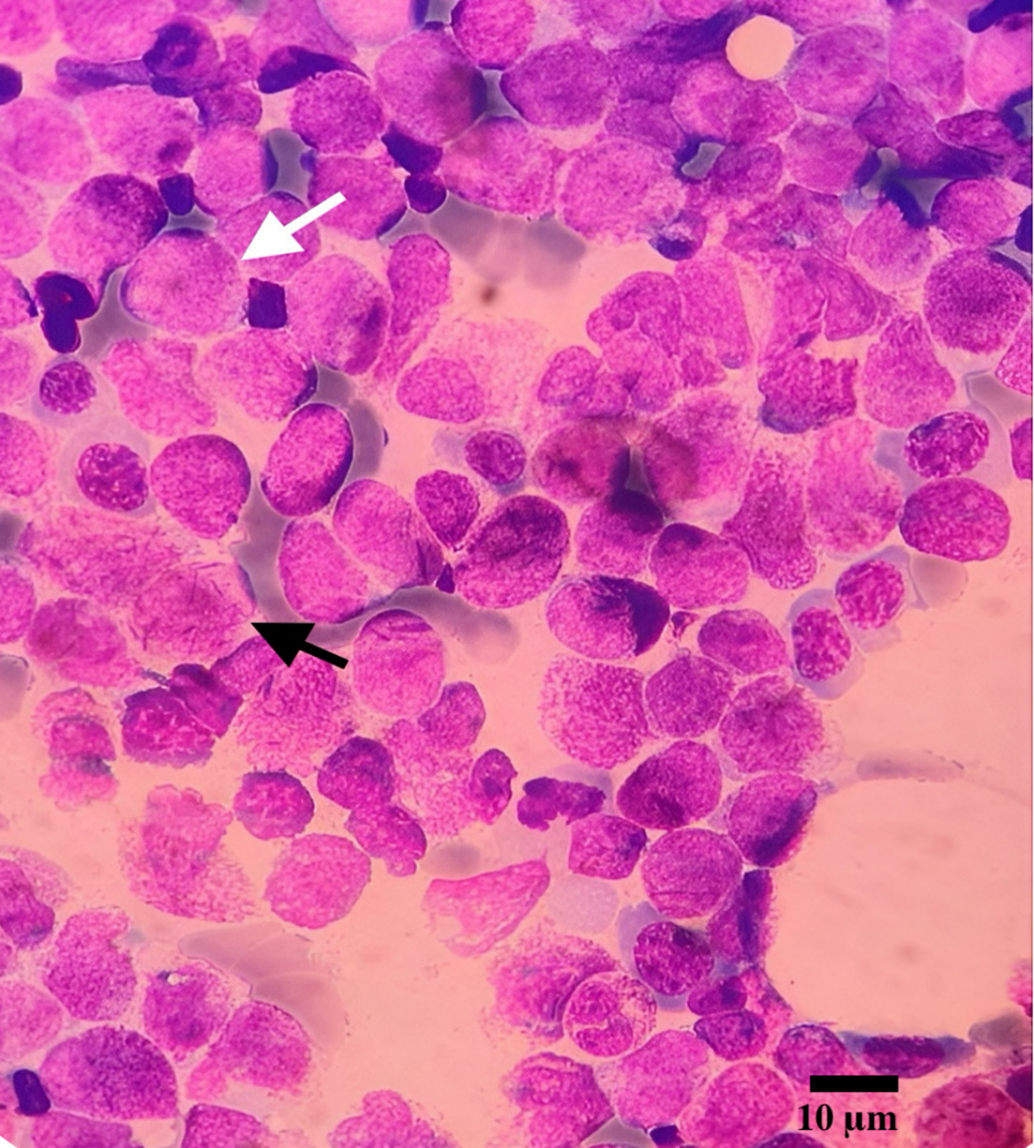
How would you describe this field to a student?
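Bone marrow smear crowded with large abnormal promyelocytes, among them cells holding bundles of rod-like inclusions. Most cells are large and round to oval, with abundant pink to purple cytoplasm densely filled with fine granules that often obscure the nucleus. Nuclei, where visible, are purple, some folded or indented, with fine chromatin. A few cells contain clusters of thin, dark, needle-like rods lying in bundles in the cytoplasm. Scattered small cells with compact, very dark nuclei lie between the large granular cells, and cells are closely packed with pale pink background between clusters.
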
